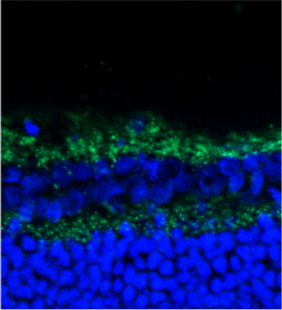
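A retinal cross-section shows a dark upper zone with almost no nuclei, then a thin, irregular band of green puncta. Below it lies a loose layer of blue nuclei, followed by a second thin punctate green band and a dense layer of nuclei at the bottom. The upper synaptic band, the inner plexiform layer, is narrow and patchy without clear strata, unlike a normal retina where it is broad and stratified.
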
